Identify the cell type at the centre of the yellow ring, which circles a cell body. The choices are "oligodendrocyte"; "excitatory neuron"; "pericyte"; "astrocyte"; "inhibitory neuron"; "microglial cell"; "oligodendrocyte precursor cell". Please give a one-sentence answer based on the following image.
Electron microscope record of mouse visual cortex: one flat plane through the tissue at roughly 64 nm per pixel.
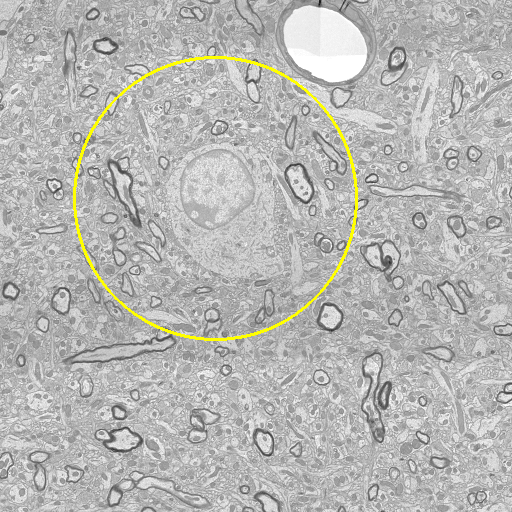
The cell marked by the ring is an oligodendrocyte.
